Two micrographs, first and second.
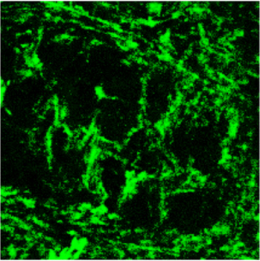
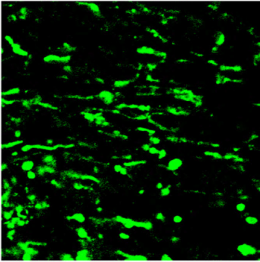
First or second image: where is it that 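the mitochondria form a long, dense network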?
the first image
